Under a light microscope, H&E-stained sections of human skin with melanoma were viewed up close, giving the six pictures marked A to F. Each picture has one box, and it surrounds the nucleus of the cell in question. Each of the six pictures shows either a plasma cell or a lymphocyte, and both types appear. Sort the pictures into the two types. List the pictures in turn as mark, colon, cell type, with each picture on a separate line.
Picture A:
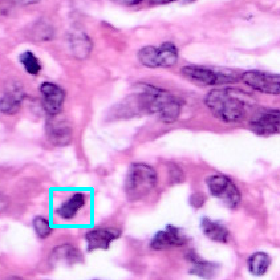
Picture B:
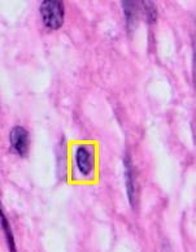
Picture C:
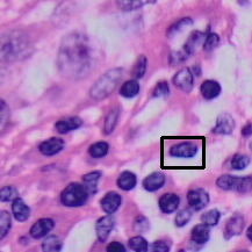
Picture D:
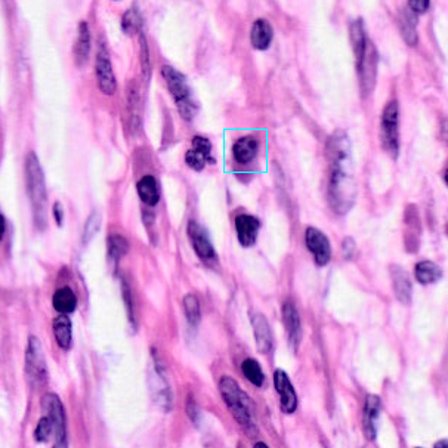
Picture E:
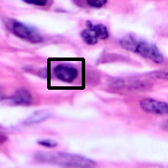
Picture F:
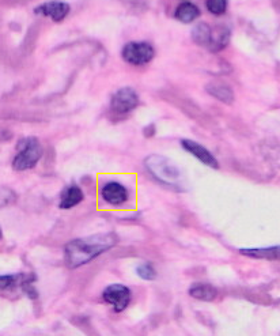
A: lymphocyte
B: lymphocyte
C: lymphocyte
D: plasma cell
E: plasma cell
F: plasma cell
